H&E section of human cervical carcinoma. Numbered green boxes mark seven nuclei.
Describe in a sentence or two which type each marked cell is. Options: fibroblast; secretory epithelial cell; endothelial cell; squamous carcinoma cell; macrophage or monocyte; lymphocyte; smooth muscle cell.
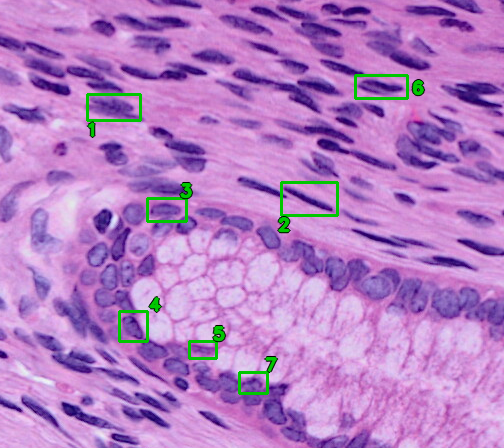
Cells 1, 2 and 6 are fibroblasts. Cells 3, 4, 5 and 7 are secretory epithelial cells.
